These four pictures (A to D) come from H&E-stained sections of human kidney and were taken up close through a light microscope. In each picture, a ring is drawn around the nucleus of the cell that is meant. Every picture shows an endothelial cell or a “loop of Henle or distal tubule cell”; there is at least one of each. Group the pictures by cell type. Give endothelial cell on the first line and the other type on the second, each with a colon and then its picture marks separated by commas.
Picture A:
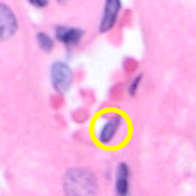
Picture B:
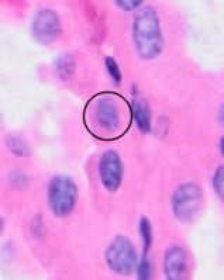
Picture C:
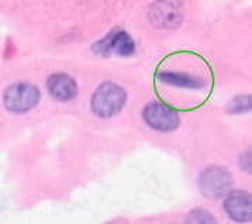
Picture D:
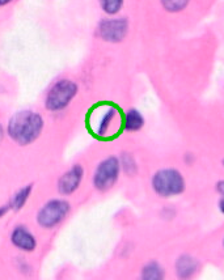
endothelial cell: A, C, D
loop of Henle or distal tubule cell: B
